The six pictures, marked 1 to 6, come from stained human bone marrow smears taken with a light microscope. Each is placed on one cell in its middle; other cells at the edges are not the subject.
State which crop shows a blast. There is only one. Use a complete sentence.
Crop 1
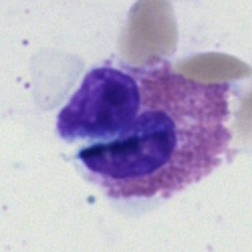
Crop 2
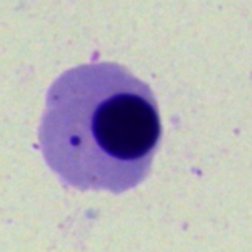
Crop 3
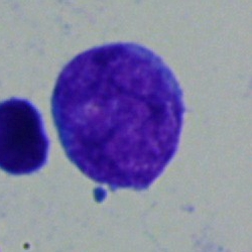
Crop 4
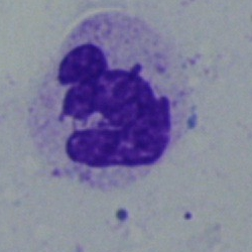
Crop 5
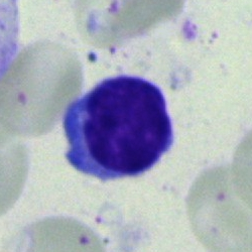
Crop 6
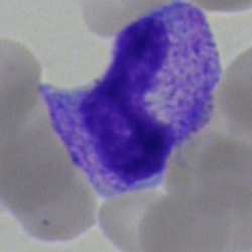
Of these crops, it is crop 3 that shows a blast.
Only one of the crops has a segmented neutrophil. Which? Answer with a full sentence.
Crop 4 is the right one; it is the crop showing a segmented neutrophil.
